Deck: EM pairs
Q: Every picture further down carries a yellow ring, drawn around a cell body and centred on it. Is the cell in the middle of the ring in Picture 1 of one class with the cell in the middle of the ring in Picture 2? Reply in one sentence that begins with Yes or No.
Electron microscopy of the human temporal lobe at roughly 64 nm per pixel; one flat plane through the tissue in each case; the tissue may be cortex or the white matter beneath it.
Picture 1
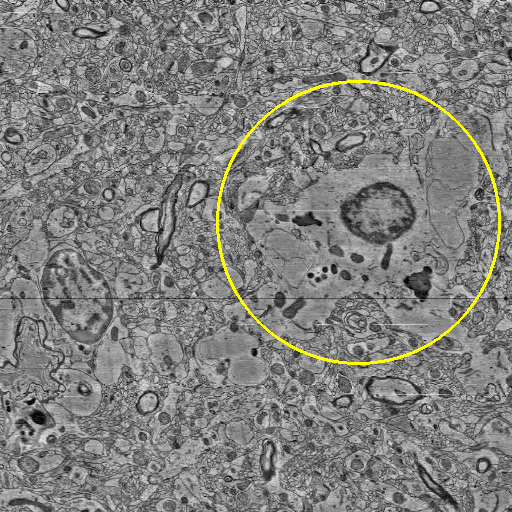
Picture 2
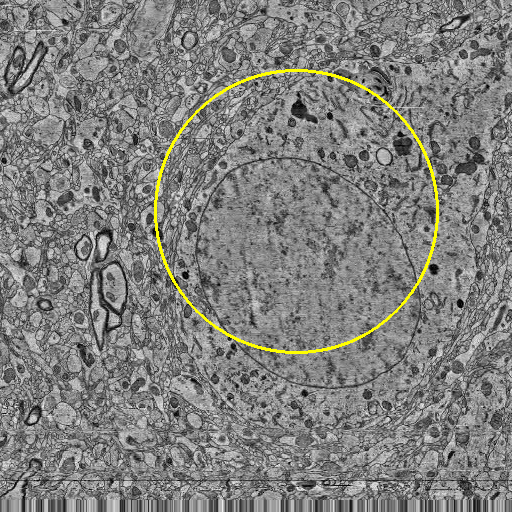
No, the cell centred in the ring of Picture 1 and the one in Picture 2 belong to separate classes.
